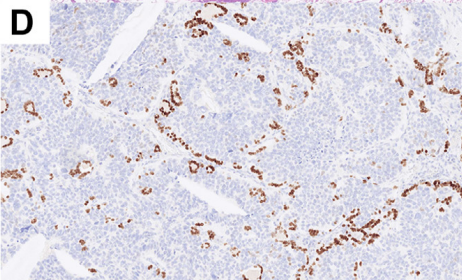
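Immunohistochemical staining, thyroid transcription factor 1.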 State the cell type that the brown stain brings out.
Nonneoplastic alveolar epithelium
